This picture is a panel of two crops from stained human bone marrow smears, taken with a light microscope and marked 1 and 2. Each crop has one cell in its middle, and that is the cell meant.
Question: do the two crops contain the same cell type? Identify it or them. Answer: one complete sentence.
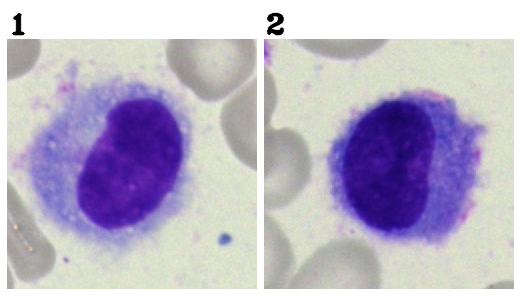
Yes, hairy cells are centred in both crops.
